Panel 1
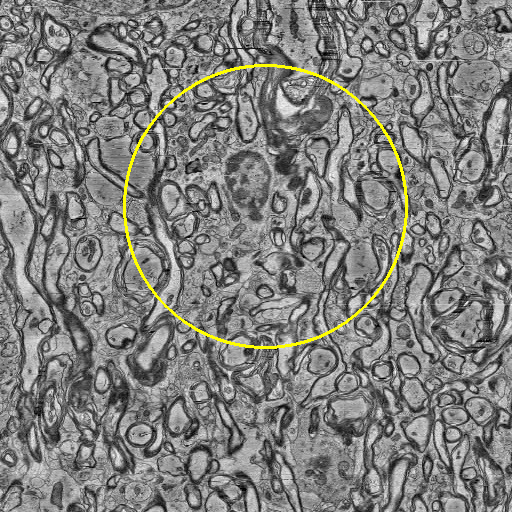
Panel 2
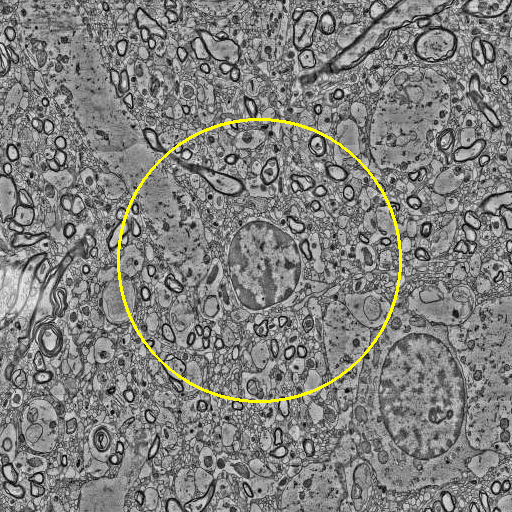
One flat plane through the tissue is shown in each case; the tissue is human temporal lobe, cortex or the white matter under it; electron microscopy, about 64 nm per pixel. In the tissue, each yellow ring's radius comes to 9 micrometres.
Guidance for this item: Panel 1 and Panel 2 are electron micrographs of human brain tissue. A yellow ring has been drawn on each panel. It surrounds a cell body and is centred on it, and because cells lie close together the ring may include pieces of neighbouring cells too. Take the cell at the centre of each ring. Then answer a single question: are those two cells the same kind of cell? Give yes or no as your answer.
yes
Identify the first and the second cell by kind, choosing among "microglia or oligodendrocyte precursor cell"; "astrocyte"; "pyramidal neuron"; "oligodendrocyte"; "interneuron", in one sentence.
In each picture the ringed cell is a microglial cell or oligodendrocyte precursor cell.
